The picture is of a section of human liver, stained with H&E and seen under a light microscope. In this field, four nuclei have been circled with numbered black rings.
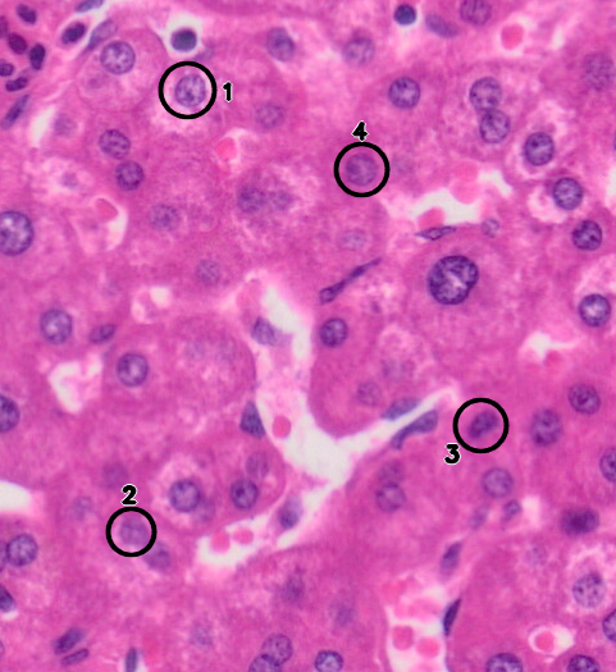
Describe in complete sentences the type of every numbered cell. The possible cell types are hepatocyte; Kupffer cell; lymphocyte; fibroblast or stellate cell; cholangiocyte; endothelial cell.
Cells 1, 2 and 4 are hepatocytes. Cell 3 is a fibroblast or stellate cell.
